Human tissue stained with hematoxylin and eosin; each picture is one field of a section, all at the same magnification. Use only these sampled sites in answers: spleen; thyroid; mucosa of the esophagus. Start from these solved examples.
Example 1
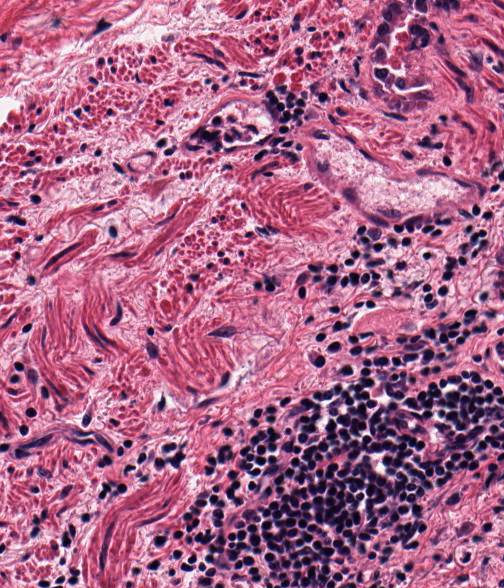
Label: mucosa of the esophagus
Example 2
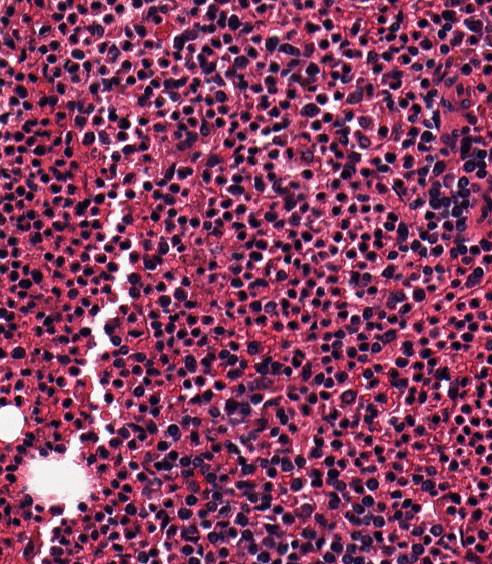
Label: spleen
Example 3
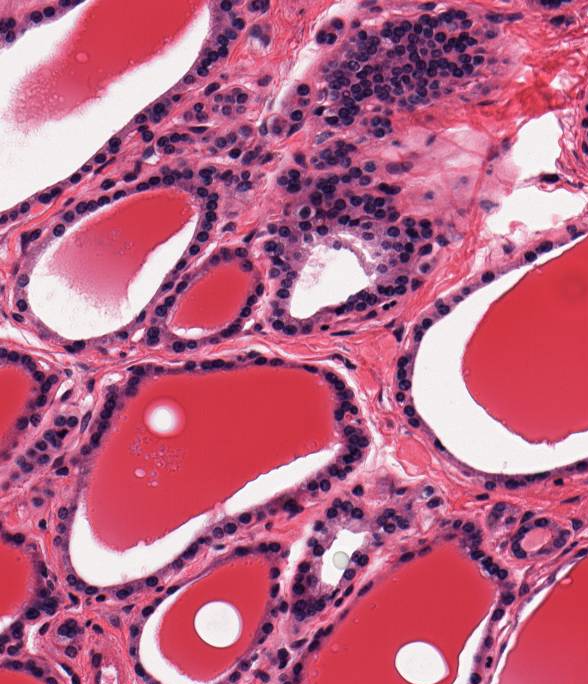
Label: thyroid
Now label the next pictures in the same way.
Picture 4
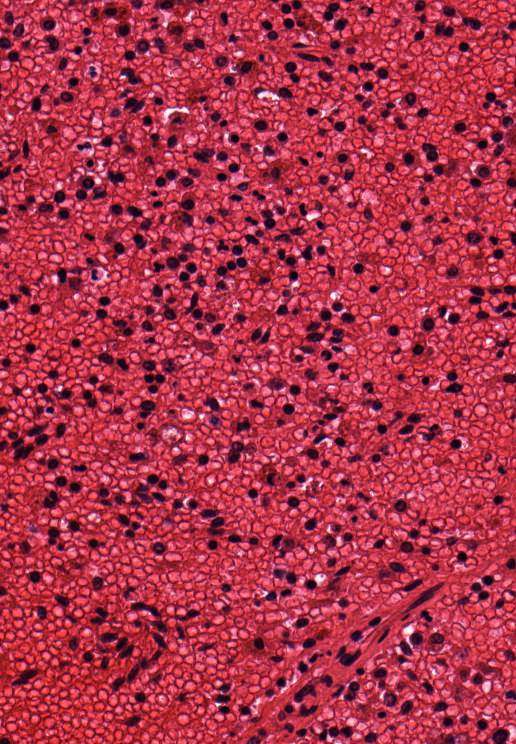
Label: spleen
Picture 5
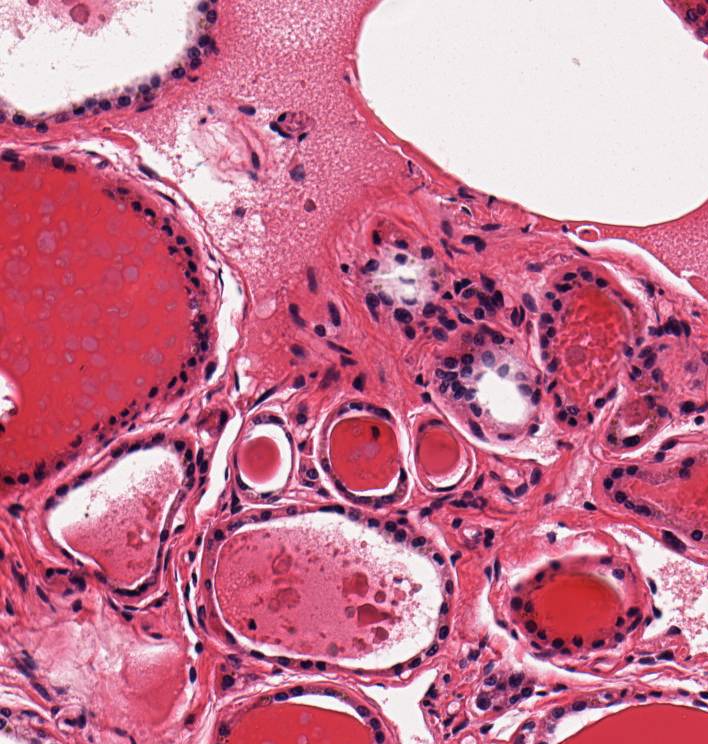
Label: thyroid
